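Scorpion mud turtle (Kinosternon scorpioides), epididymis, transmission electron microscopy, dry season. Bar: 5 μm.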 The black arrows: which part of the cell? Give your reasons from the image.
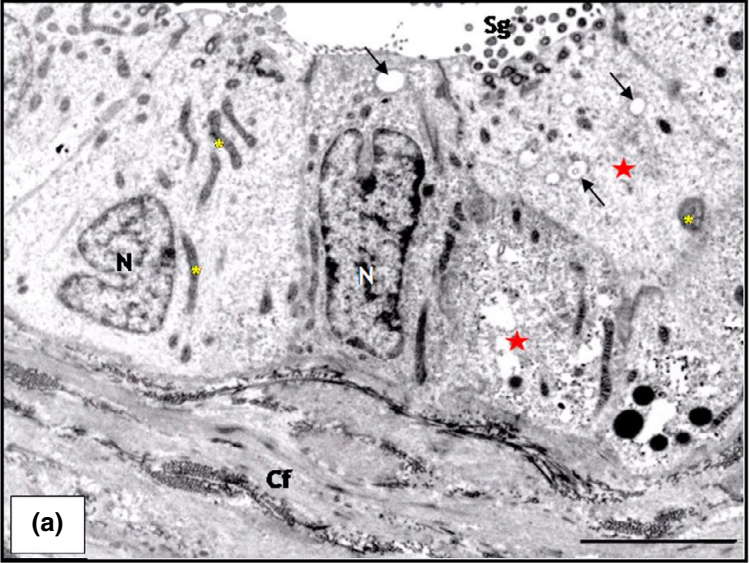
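The black arrows point to small round clear spaces in the apical cytoplasm. These spaces are empty and electron-lucent with a sharp outline. On this evidence: vacuoles.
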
